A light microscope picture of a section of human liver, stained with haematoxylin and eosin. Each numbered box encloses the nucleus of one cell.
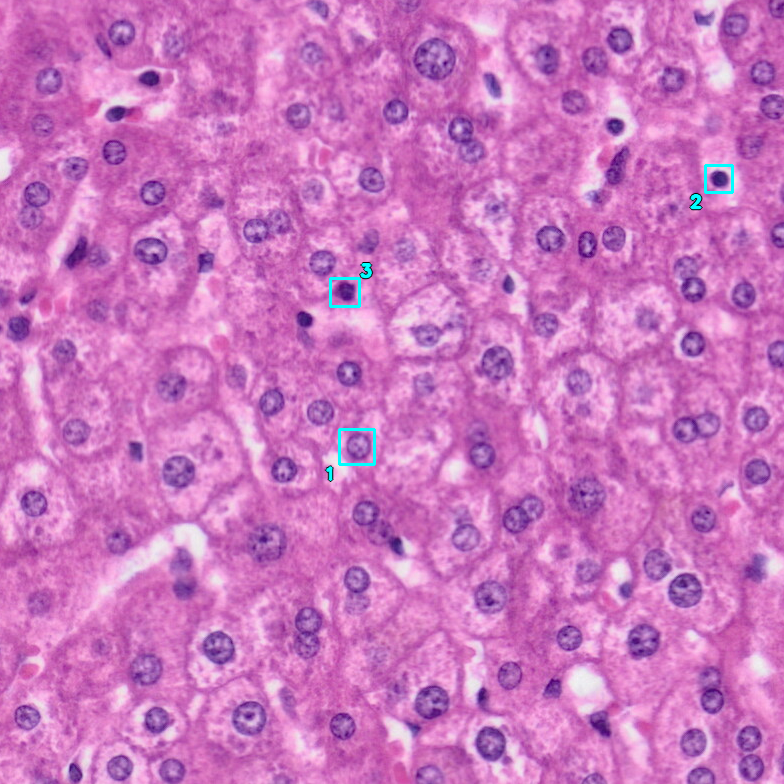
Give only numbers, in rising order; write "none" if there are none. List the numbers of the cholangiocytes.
none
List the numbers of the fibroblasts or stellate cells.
3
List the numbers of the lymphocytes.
2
